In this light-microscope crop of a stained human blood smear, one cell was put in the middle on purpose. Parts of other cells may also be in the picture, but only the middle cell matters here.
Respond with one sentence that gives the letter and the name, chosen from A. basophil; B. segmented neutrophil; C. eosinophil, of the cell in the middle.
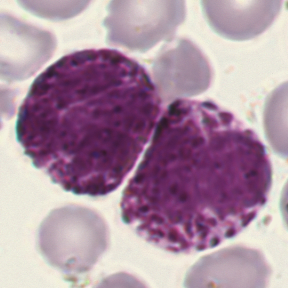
Well, the cell in the middle is a basophil, making option A right.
